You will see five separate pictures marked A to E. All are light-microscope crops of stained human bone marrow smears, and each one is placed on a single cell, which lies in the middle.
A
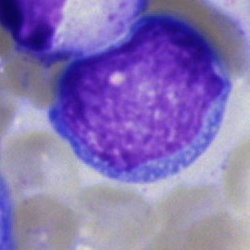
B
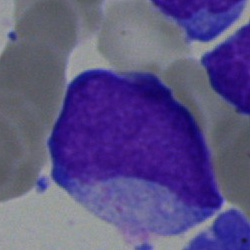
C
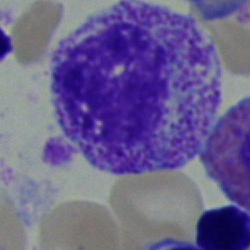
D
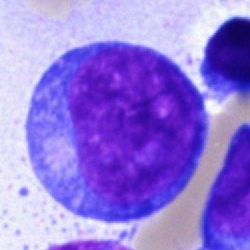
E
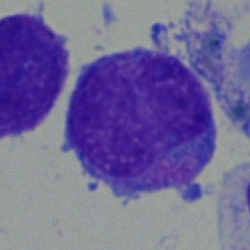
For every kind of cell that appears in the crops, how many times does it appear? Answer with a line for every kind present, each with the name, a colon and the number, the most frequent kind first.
blast: 4
myelocyte: 1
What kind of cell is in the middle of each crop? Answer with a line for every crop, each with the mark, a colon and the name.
A: blast
B: blast
C: myelocyte
D: blast
E: blast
